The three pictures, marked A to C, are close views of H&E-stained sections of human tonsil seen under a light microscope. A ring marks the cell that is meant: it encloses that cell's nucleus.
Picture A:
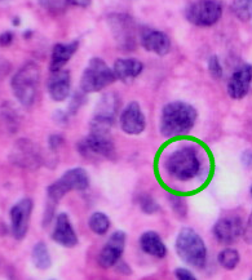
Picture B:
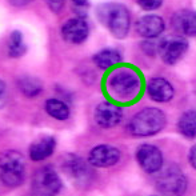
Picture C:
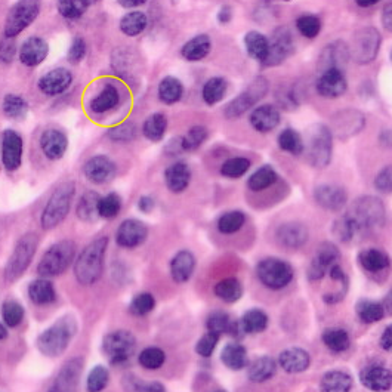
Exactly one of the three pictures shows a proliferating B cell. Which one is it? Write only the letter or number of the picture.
A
